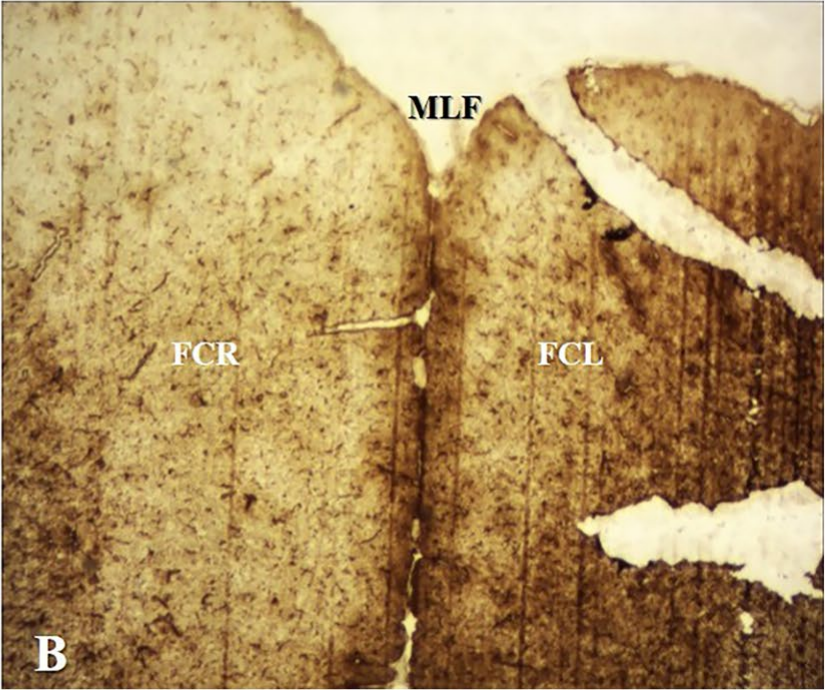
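This low-power view shows the cerebral cortex of both hemispheres, which meet at a narrow midline cleft that widens into an unstained gap at the top. Faint straight lines run vertically through the tissue on both sides. Several pale, unstained tears cross the tissue, most clearly on the right side.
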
